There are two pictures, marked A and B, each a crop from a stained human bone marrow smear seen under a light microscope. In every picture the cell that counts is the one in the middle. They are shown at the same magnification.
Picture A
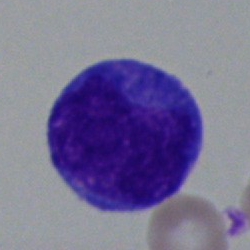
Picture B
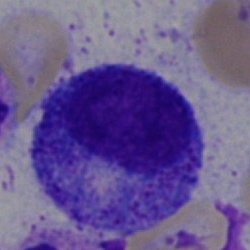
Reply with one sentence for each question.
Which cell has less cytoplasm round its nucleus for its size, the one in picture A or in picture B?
It is the cell in picture A that is filled more by its nucleus.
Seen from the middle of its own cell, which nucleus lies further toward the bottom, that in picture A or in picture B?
Seen within its cell, the nucleus in picture A lies further toward the bottom.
